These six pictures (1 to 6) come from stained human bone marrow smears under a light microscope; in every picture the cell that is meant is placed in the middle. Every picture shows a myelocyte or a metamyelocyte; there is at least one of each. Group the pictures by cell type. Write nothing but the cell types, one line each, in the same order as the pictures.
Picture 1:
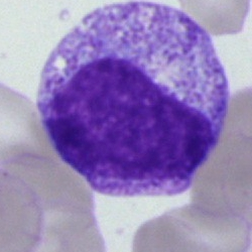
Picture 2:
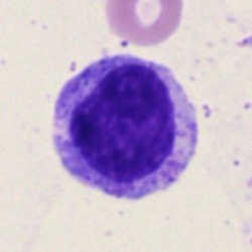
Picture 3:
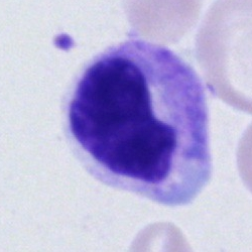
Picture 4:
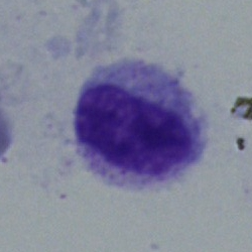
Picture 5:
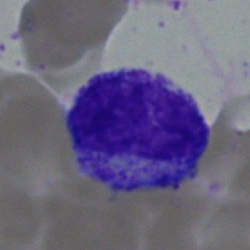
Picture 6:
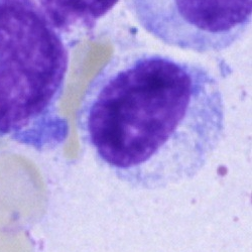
myelocyte
myelocyte
metamyelocyte
metamyelocyte
myelocyte
myelocyte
